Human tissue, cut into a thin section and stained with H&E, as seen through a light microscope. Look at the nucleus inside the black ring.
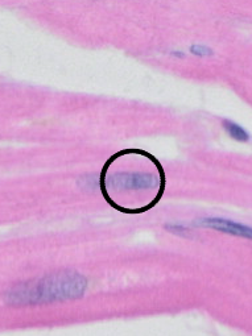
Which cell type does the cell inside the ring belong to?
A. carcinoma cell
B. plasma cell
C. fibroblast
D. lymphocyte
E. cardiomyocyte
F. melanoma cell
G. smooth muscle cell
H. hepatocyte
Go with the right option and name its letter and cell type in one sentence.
Under option E, the cell inside the ring is a cardiomyocyte, which is the correct identification.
